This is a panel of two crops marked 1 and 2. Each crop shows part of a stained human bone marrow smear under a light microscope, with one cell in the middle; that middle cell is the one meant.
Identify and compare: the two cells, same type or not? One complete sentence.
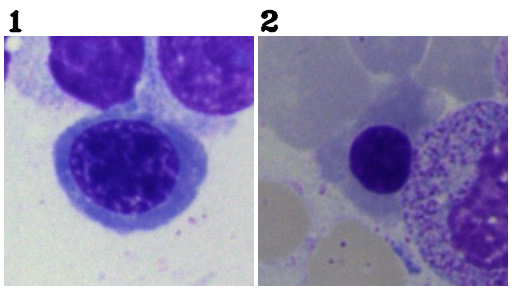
Yes, the cells in both crops are normoblasts.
